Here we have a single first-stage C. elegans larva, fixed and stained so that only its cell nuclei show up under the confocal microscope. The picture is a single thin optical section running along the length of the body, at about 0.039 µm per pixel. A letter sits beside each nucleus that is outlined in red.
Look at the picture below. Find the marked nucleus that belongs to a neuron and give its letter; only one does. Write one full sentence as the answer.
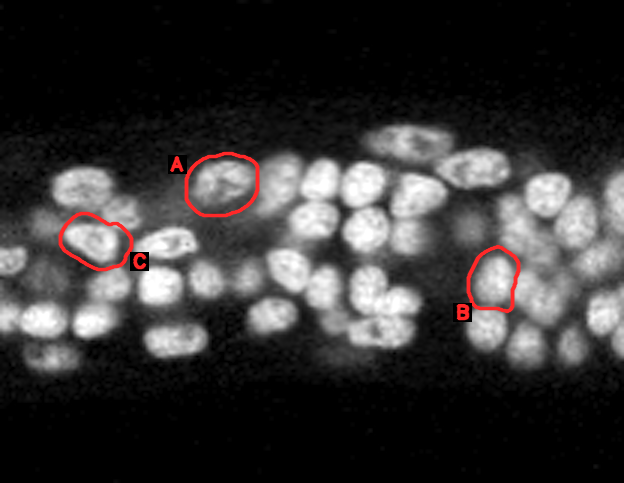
Of the marked nuclei, B is the one in a neuron.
